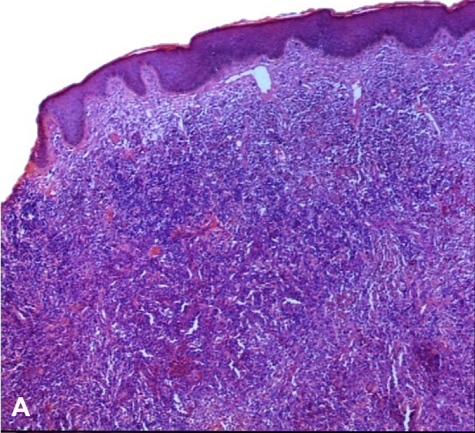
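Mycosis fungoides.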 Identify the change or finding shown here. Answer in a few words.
Dense pandermal lymphocytic infiltrate.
